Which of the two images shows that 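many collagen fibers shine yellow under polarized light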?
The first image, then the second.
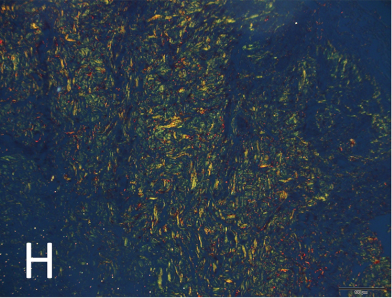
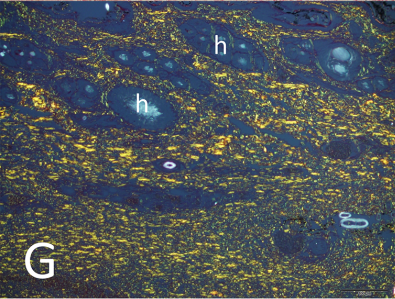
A: The second image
